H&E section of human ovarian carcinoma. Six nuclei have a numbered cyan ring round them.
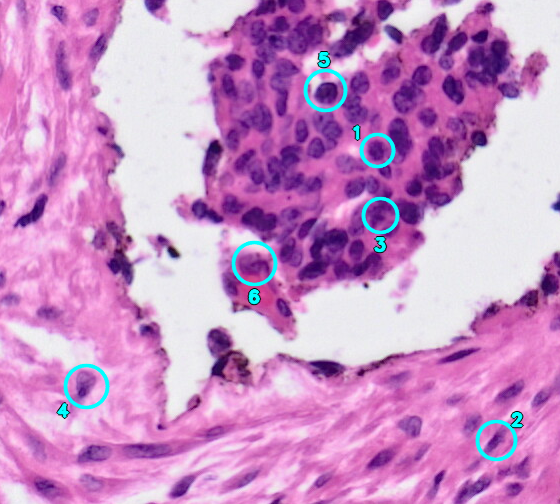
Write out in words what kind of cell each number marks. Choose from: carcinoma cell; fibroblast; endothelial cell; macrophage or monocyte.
Cell 1 is a carcinoma cell, cell 2 is a fibroblast, cell 3 is a carcinoma cell, cell 4 is a fibroblast, cell 5 is a carcinoma cell and cell 6 is an endothelial cell.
